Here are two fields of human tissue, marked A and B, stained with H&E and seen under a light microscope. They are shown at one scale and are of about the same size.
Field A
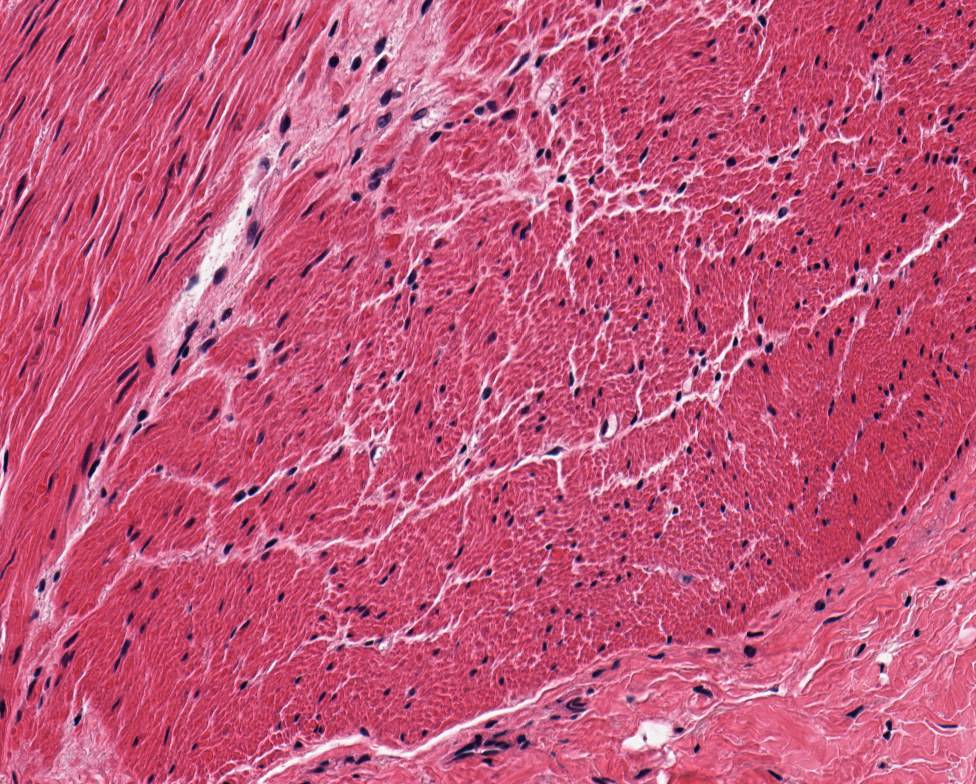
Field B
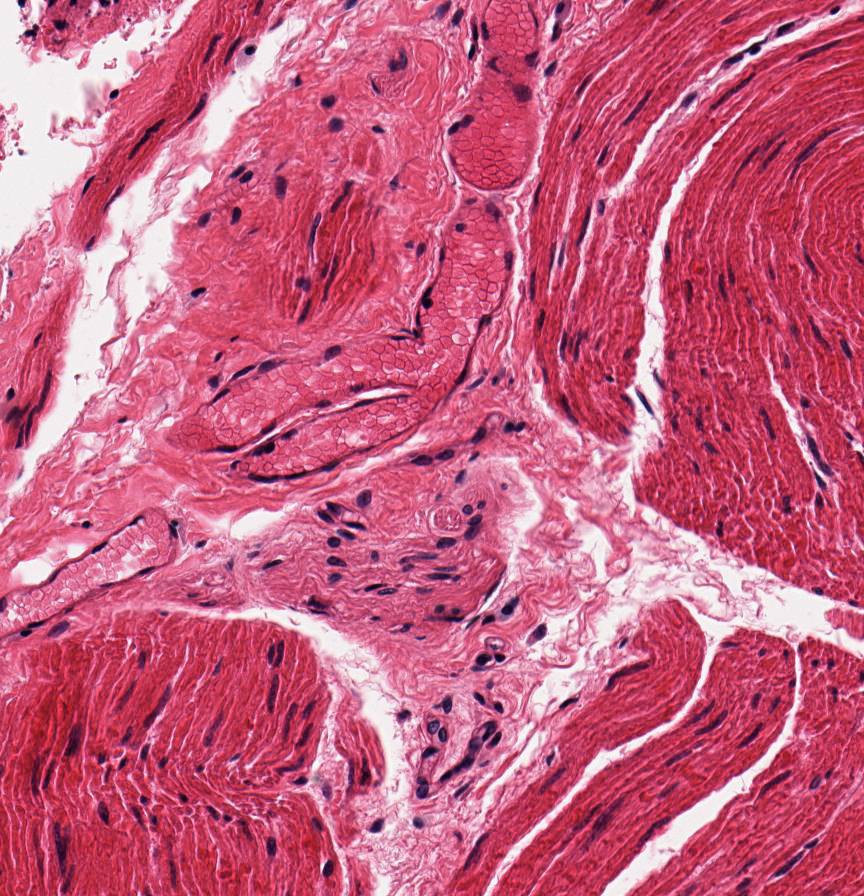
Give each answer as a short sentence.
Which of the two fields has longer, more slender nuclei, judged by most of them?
It is field B whose nuclei are the more elongated.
